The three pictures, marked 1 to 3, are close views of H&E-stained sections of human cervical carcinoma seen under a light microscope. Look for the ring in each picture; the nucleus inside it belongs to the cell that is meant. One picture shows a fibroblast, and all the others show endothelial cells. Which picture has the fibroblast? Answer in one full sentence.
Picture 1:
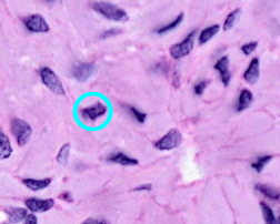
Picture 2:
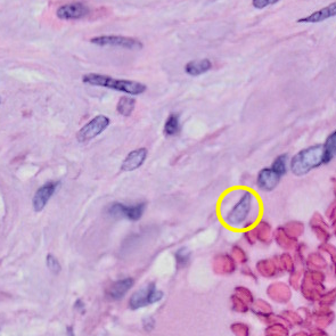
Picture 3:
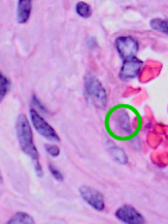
The fibroblast is the one in picture 1.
